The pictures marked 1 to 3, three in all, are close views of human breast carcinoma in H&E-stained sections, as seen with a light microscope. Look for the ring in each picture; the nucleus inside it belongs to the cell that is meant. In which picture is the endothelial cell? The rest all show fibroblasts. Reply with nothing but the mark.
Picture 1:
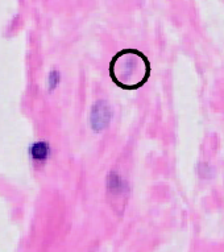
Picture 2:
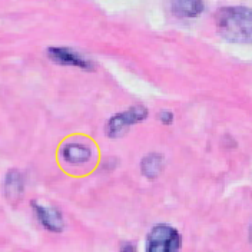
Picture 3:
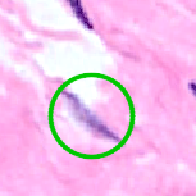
2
